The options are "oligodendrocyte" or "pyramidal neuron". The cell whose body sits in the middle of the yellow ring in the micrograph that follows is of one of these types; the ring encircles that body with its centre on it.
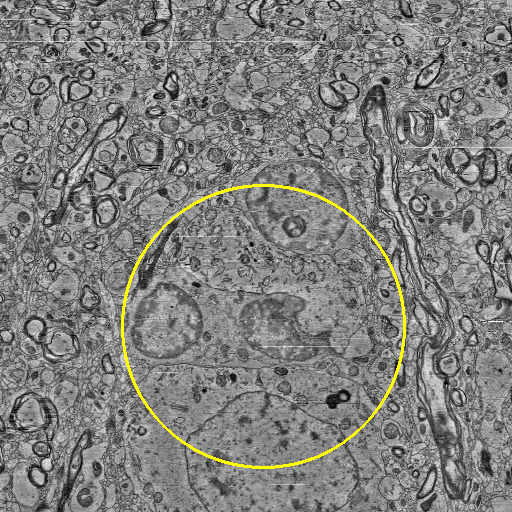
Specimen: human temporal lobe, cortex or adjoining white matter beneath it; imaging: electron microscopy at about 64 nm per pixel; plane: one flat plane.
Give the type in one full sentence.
Going by the micrograph, the cell centred in the yellow ring is an oligodendrocyte.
